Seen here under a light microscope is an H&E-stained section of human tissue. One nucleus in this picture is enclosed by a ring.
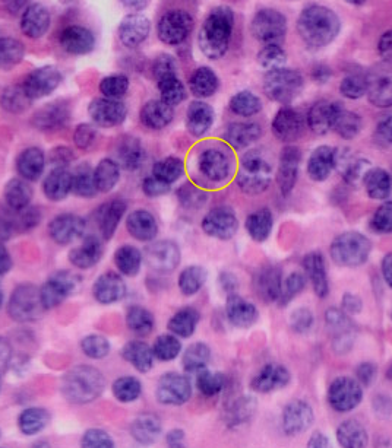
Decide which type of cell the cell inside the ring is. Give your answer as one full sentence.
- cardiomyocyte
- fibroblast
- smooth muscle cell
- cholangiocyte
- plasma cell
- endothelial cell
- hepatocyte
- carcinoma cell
It is as a plasma cell that the cell inside the ring is recorded.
